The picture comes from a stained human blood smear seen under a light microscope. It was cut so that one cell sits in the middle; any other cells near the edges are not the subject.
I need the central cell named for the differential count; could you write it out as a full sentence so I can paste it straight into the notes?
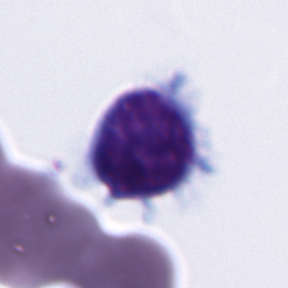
The center cell of this crop is a hairy cell.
